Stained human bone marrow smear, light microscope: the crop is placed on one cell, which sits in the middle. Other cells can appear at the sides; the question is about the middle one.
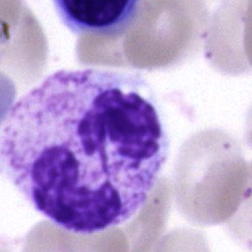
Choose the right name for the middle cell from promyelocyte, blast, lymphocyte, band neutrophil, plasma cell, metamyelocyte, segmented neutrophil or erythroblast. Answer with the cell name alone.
segmented neutrophil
